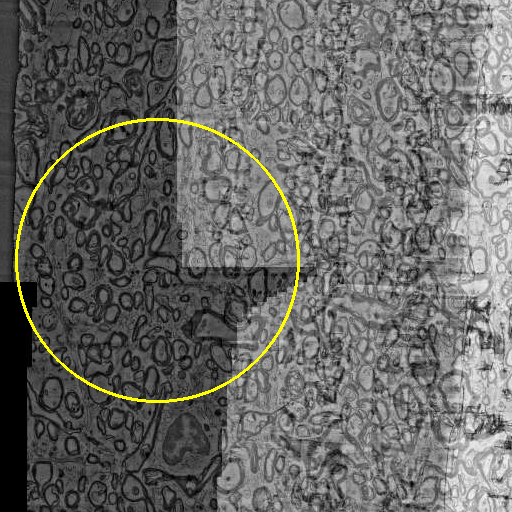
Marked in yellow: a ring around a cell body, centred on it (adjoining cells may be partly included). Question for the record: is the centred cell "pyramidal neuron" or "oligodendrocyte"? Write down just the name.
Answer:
oligodendrocyte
